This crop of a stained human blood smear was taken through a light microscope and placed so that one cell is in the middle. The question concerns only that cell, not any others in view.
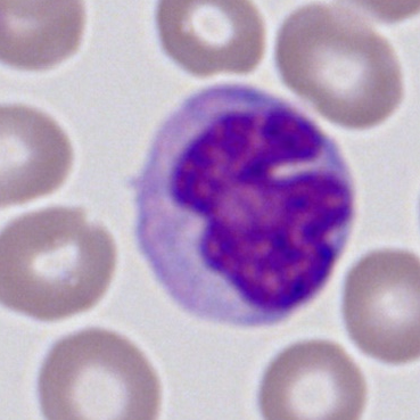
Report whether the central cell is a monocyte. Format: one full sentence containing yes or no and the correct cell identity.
Yes, this central cell is a monocyte.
